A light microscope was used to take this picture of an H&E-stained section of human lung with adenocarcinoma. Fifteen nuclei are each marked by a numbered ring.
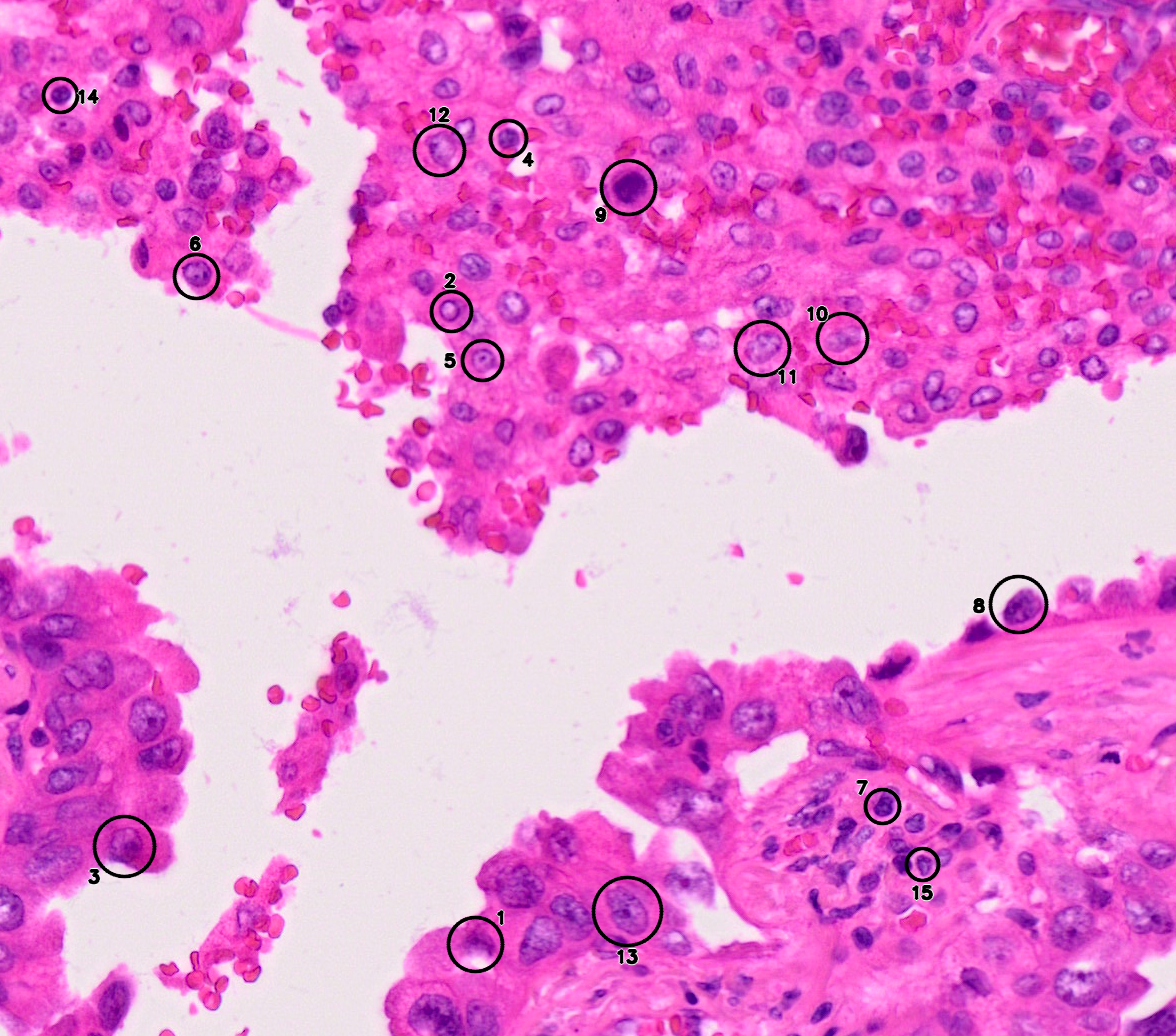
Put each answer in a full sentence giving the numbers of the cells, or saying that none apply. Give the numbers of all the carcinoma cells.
The cells whose numbers are 1, 3, 8, 9 and 13 are carcinoma cells.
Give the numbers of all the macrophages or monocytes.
The cells that bear the numbers 2, 5, 6, 10, 11 and 12 are macrophages or monocytes.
